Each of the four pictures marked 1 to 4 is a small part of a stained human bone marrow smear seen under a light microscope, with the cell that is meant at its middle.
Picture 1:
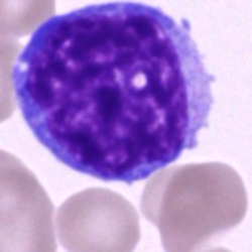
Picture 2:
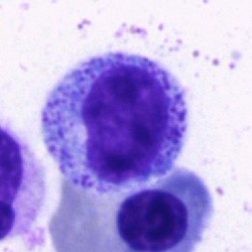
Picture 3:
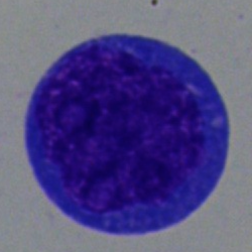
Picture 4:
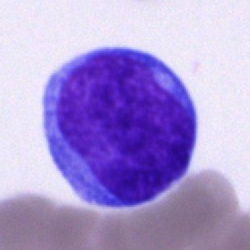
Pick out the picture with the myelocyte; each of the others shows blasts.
2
